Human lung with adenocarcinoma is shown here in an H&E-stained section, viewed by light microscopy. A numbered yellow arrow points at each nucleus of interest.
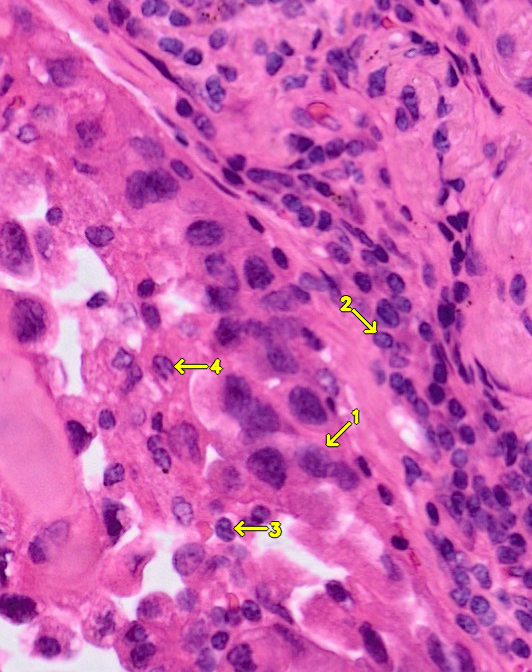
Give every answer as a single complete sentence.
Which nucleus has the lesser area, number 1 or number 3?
Number 3 is smaller, since number 1 takes up about 2.5 times as much area.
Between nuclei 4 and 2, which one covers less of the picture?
Nucleus 2 covers less area, with nucleus 4 about 1.5 times as large.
